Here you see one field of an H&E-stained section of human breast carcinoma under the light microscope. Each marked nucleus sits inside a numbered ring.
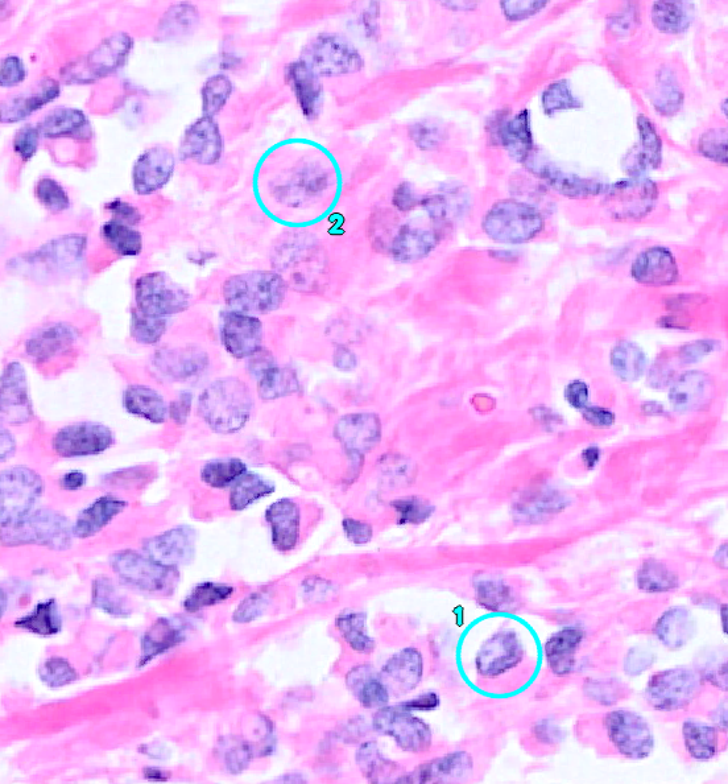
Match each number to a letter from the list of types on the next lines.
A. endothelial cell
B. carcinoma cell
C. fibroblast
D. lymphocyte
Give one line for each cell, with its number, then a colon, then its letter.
1: B
2: C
